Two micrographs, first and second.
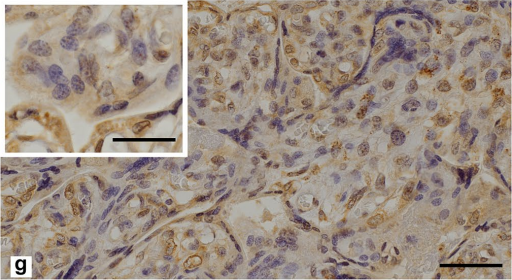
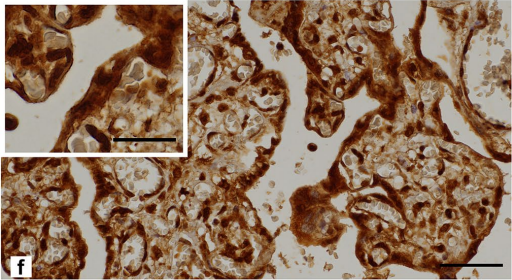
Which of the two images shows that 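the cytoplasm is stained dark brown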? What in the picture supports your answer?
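First image: cytoplasm is pale tan with many blue nuclei. Second image: the covering cells and stroma have dense dark brown cytoplasm.
Conclusion: the second image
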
